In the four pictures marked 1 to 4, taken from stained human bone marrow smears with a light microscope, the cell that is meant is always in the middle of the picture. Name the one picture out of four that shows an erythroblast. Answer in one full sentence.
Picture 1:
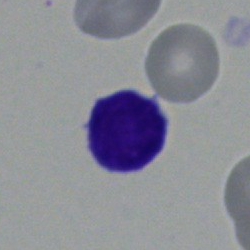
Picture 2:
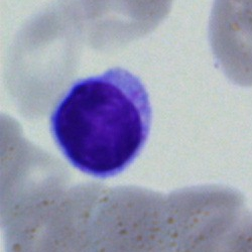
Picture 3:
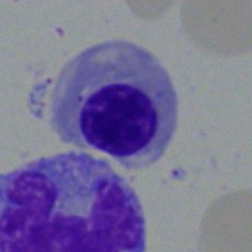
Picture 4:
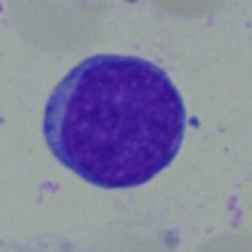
The cell in picture 3 is the erythroblast.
